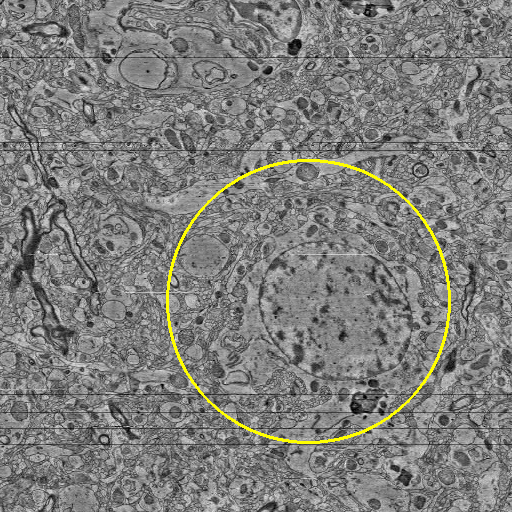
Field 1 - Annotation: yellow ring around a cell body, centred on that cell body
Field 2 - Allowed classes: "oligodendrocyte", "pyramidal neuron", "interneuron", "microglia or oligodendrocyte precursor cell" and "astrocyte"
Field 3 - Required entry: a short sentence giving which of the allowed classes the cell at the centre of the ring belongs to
The centred cell is an astrocyte.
